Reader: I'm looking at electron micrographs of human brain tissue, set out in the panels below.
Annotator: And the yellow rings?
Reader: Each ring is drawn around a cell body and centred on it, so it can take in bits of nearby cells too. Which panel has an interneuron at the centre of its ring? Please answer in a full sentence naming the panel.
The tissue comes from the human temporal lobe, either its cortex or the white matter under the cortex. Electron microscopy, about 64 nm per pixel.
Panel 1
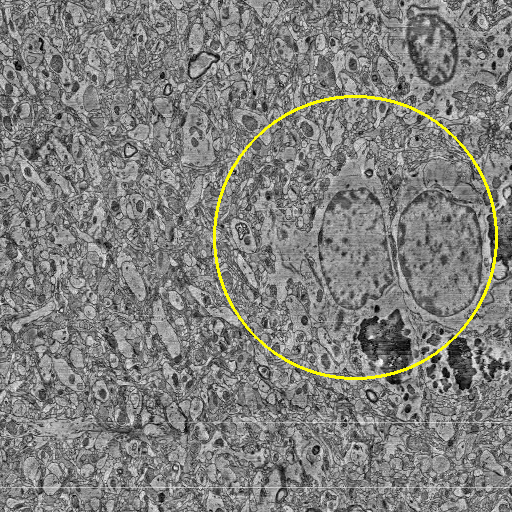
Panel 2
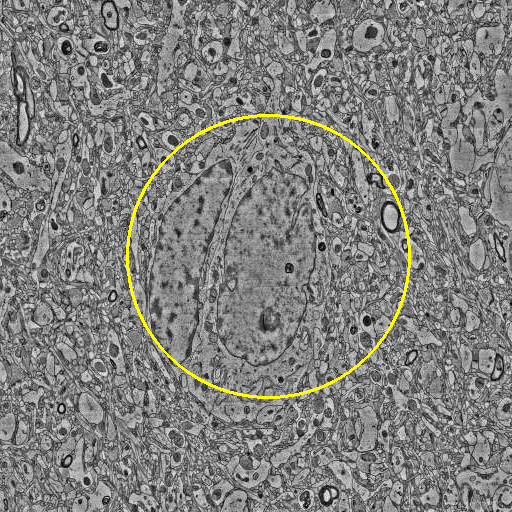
Panel 2 has it at the centre of its ring.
